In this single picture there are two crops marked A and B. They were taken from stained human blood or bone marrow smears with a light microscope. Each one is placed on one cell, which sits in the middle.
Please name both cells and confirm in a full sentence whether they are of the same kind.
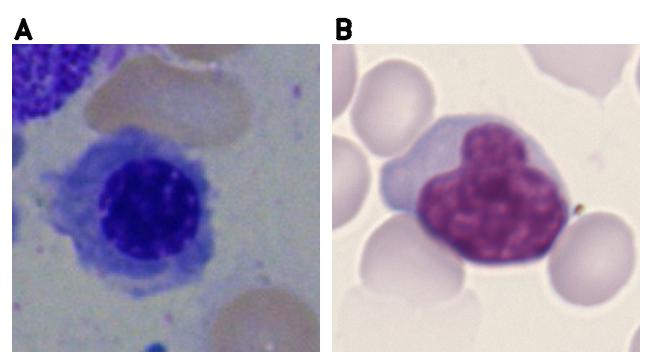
No, crop A captures an erythroblast; meanwhile crop B captures a lymphocyte.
